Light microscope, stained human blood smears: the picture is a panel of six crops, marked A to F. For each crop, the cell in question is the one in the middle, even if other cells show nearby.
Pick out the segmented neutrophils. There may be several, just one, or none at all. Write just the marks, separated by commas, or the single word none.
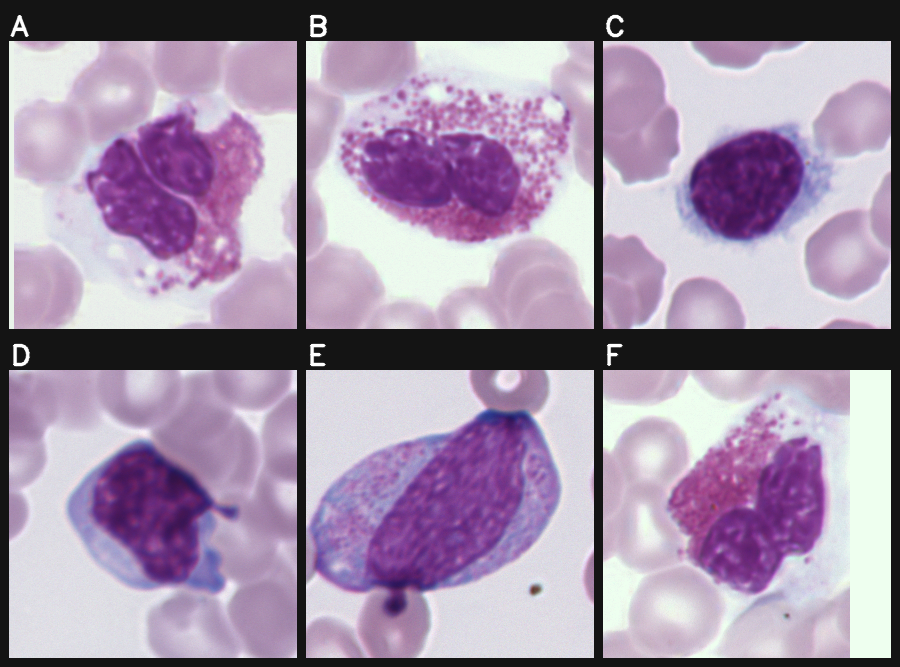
none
